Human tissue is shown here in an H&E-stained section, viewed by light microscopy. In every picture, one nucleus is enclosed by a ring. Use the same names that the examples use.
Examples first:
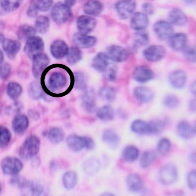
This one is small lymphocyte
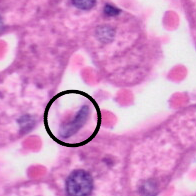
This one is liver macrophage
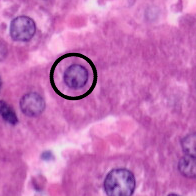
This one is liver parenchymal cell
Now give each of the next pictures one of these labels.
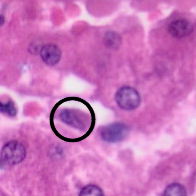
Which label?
liver macrophage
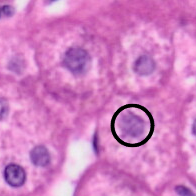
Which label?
liver parenchymal cell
